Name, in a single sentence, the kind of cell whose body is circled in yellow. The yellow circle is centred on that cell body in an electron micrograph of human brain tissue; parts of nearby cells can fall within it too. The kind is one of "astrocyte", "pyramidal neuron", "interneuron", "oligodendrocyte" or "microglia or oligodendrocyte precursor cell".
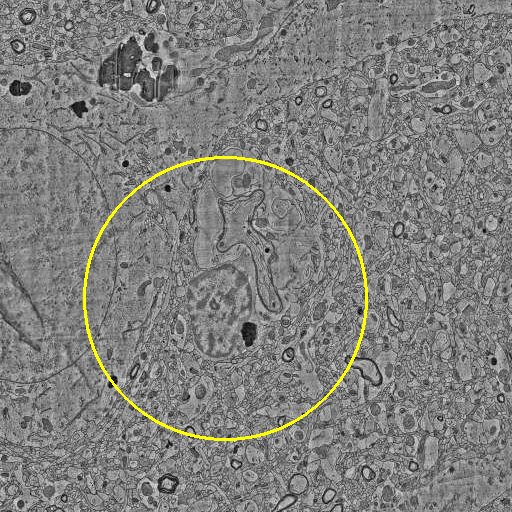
The circled cell body belongs to an oligodendrocyte.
